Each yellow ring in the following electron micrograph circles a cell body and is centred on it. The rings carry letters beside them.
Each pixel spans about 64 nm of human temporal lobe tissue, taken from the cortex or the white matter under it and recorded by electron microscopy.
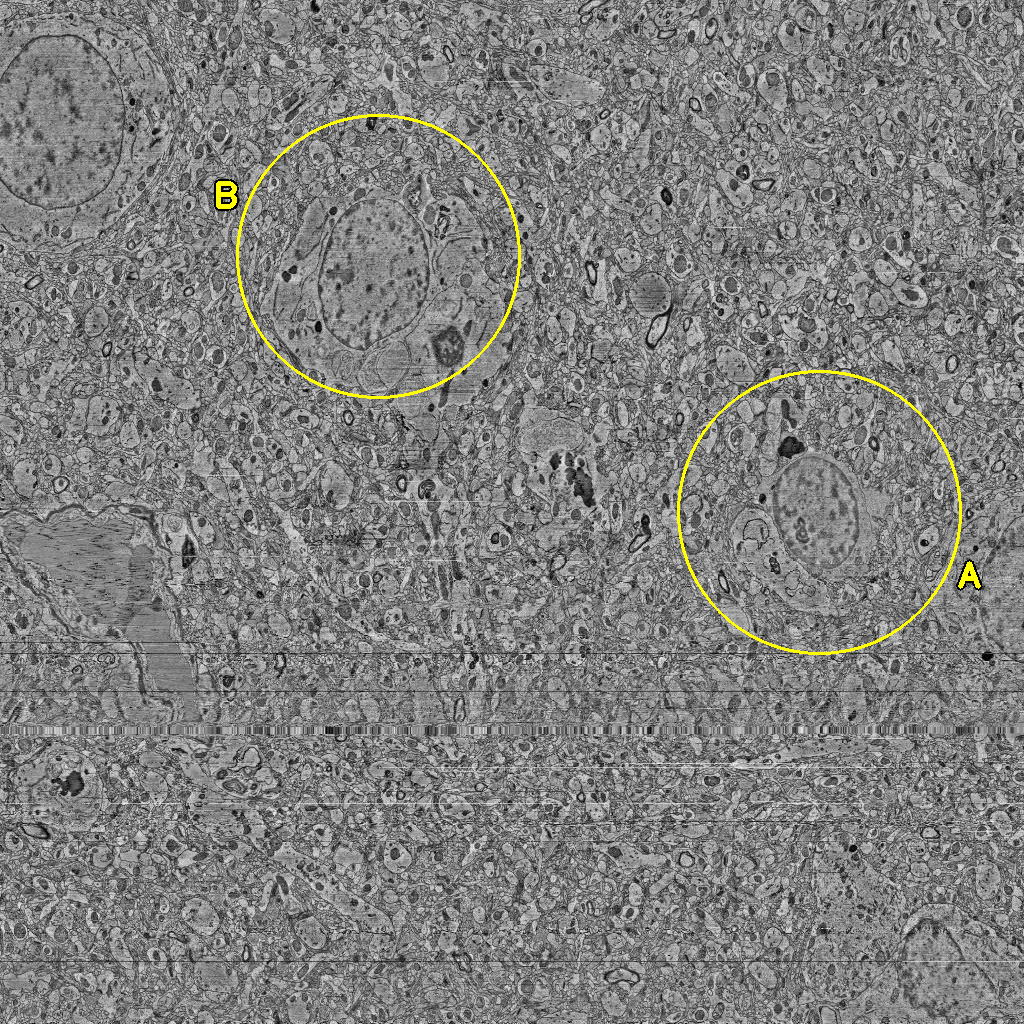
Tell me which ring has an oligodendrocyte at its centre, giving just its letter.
A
